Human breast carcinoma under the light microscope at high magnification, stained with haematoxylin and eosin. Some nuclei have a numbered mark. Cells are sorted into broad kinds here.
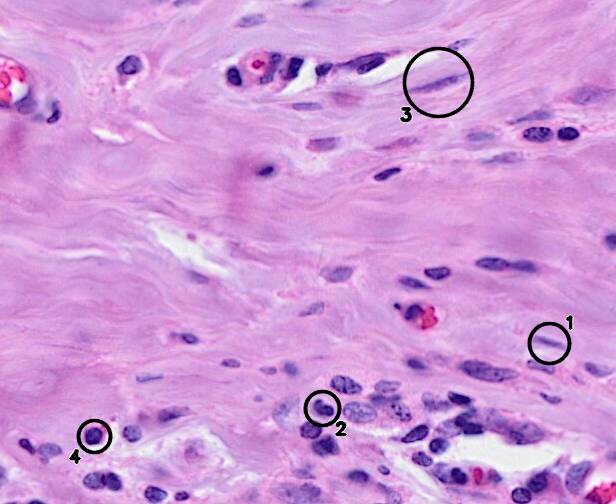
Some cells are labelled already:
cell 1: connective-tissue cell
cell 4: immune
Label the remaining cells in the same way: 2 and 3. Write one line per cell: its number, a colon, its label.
2: immune
3: connective-tissue cell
